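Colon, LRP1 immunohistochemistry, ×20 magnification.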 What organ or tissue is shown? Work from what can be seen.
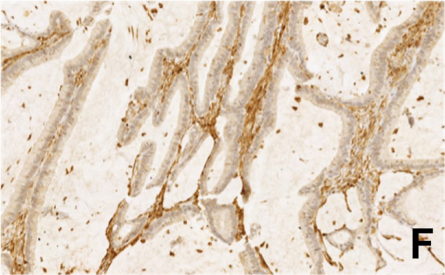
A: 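Thin strands of brown-stained stroma run through the pale pools. So: mucinous adenocarcinoma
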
